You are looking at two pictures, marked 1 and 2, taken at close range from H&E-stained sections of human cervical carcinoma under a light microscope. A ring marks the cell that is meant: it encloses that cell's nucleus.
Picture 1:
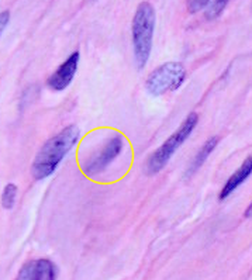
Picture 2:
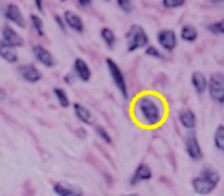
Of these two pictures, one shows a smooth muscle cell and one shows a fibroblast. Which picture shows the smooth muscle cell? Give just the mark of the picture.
2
